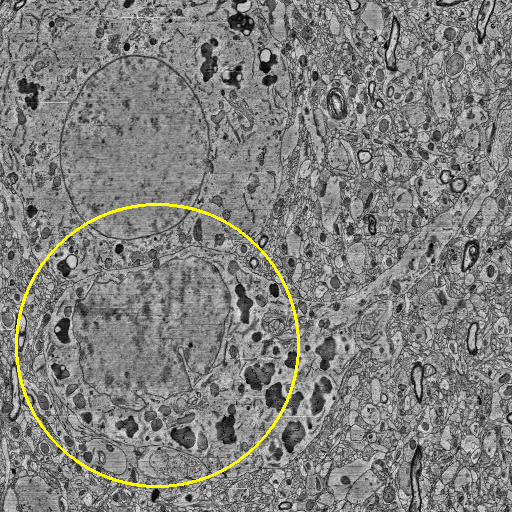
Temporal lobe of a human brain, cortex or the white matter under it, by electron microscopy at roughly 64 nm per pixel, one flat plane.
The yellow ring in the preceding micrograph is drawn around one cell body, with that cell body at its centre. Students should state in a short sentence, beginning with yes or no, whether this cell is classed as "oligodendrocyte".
No, this cell is of another type.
